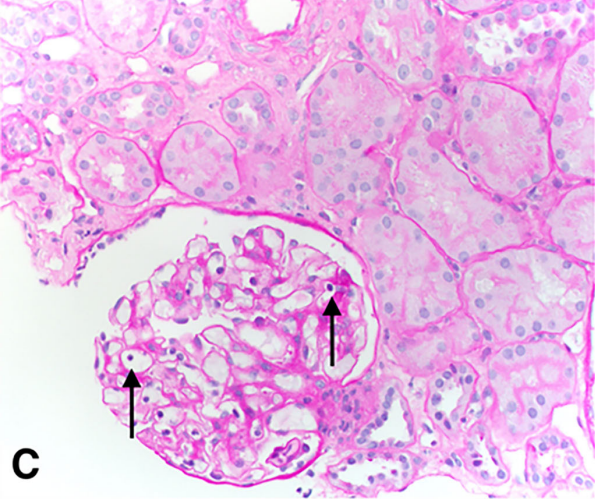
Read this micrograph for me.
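Kidney cortex with a glomerulus at lower left and closely packed tubules around it, their basement membranes outlined in magenta. A few small round dark nuclei of lymphocytes lie inside the glomerular capillary loops. The tissue between the tubules shows little inflammation and the tubular epithelium is not infiltrated by inflammatory cells.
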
